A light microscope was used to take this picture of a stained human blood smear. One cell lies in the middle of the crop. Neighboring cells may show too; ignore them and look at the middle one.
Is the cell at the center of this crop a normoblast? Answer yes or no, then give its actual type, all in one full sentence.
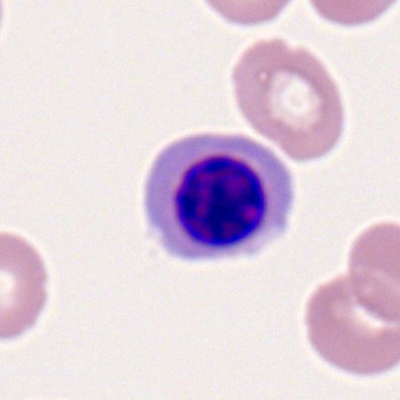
Yes, the cell in the middle is rightly called a normoblast.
